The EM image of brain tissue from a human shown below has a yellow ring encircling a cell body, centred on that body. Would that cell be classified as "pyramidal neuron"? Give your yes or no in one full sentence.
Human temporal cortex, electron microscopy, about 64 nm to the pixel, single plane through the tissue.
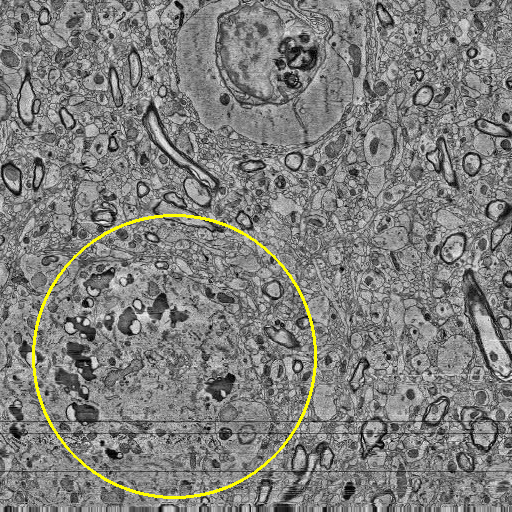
Yes, the cell at the centre of the ring in the picture falls in that class.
